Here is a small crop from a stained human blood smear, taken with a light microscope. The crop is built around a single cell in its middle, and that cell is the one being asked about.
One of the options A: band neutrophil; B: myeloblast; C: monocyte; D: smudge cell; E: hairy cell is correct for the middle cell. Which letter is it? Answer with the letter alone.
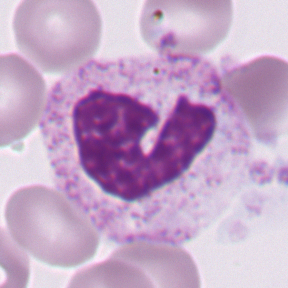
A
